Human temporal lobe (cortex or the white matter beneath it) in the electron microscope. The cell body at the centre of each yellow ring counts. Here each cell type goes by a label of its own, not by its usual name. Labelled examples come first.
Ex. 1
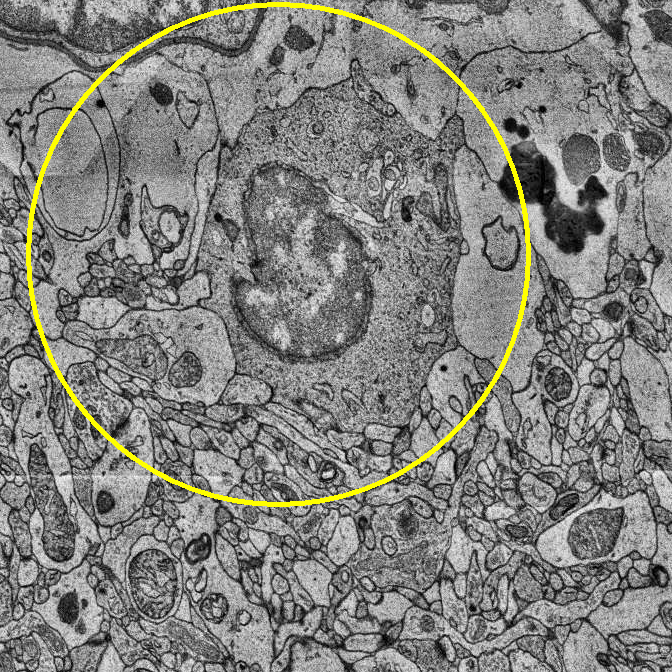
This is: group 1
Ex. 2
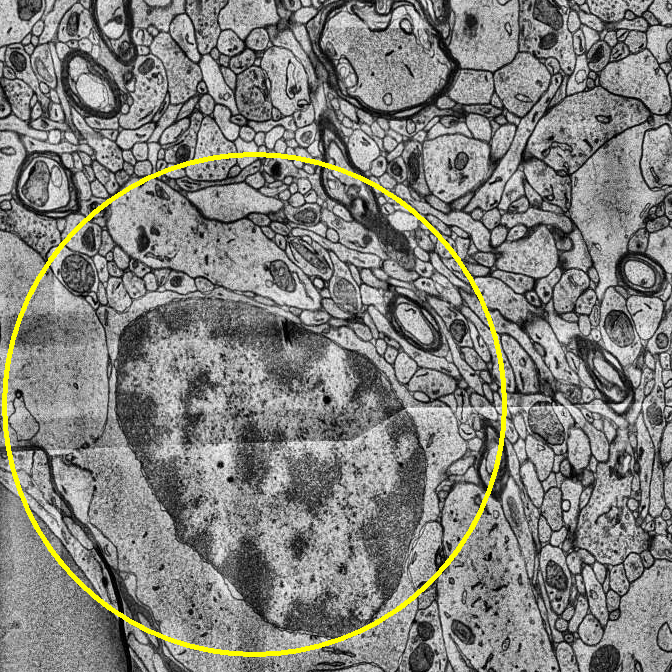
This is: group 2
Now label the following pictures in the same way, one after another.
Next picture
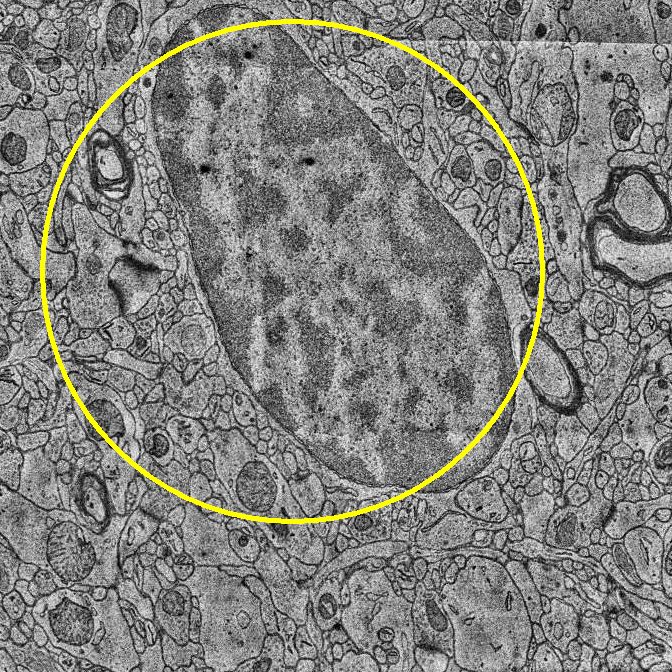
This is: group 2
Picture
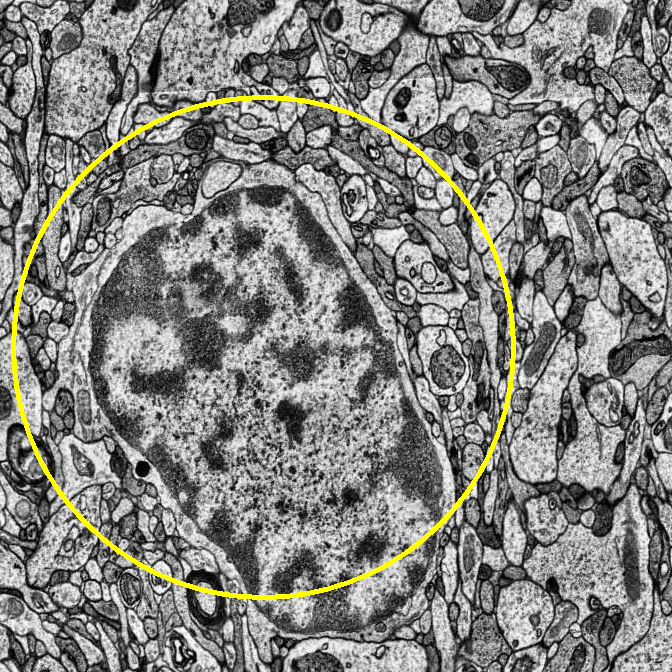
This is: group 2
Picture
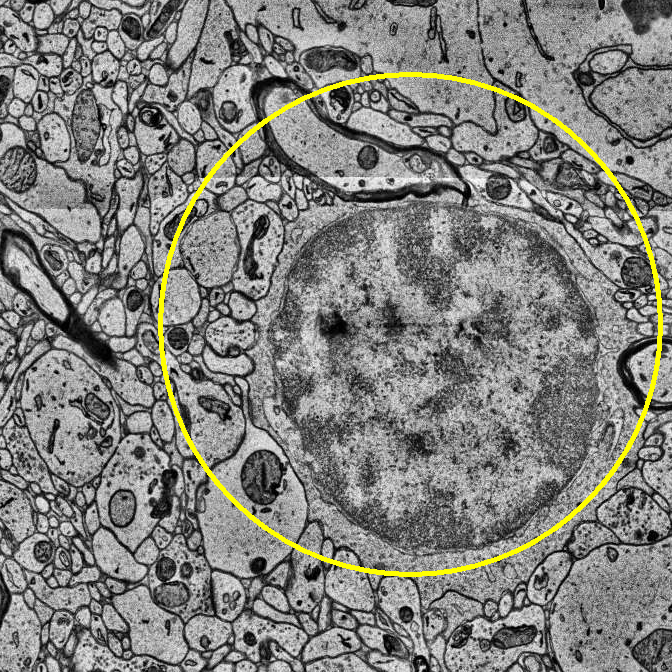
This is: group 1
